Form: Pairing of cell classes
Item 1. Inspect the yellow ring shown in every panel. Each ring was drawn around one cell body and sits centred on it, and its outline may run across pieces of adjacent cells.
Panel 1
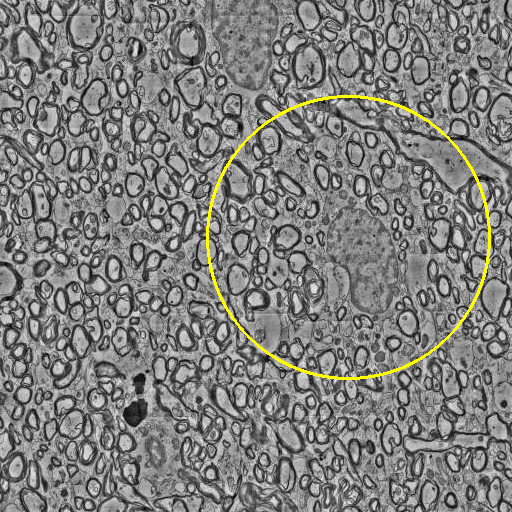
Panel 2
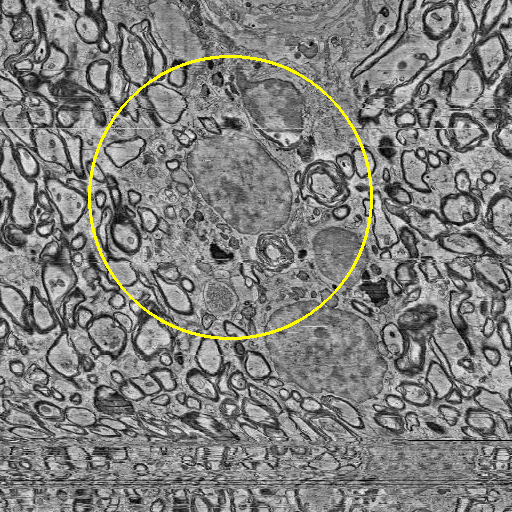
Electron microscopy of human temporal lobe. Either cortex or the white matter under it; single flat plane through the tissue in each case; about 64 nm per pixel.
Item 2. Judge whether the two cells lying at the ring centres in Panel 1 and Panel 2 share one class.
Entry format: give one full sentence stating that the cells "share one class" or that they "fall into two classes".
The cells at the ring centres in Panel 1 and Panel 2 share one class.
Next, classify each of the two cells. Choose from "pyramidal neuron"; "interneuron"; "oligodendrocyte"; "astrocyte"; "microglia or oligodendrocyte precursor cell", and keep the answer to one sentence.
Each of the two pictures has an oligodendrocyte at the ring centre.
